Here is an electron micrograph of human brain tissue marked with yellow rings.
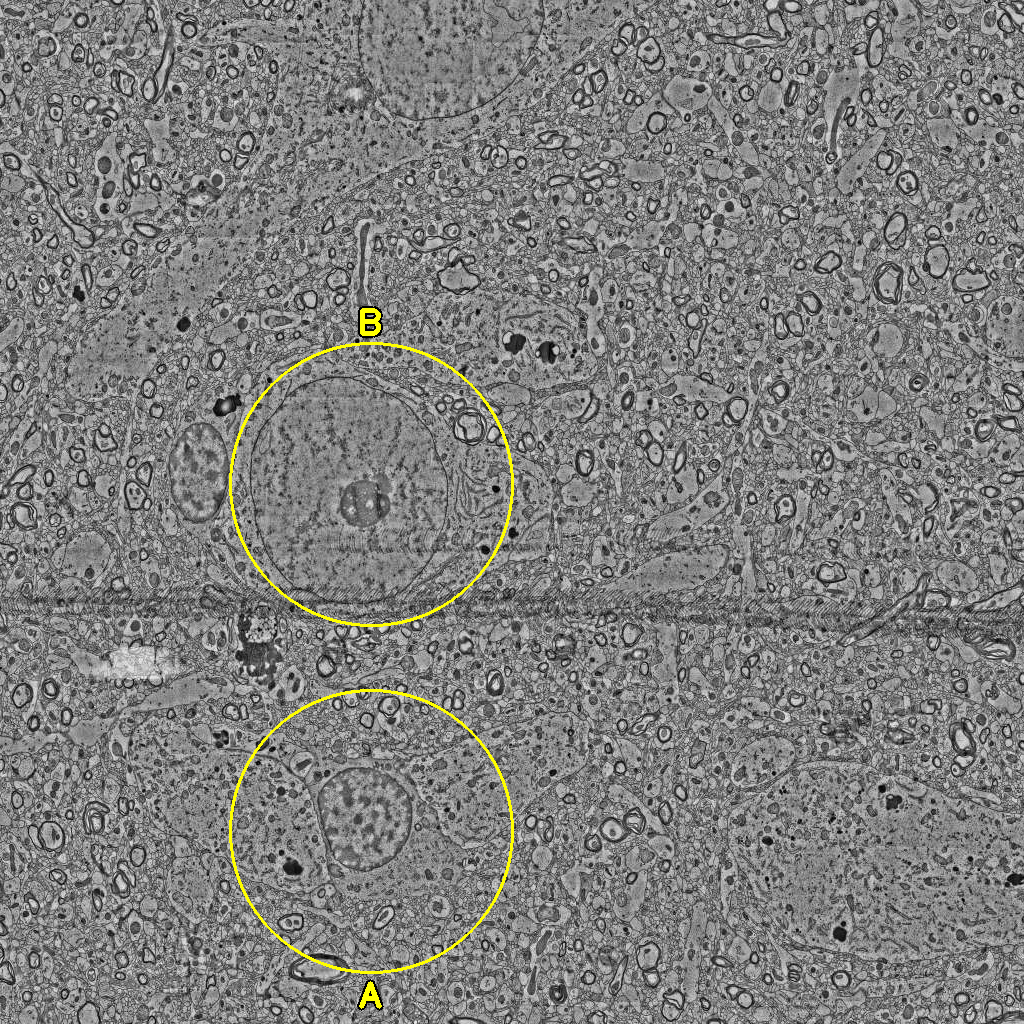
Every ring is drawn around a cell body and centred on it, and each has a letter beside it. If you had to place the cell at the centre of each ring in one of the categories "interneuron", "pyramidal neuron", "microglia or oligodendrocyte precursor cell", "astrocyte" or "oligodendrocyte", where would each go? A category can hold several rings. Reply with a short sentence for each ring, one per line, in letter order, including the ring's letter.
The centre of ring A holds an oligodendrocyte.
The centre of ring B holds a pyramidal neuron.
